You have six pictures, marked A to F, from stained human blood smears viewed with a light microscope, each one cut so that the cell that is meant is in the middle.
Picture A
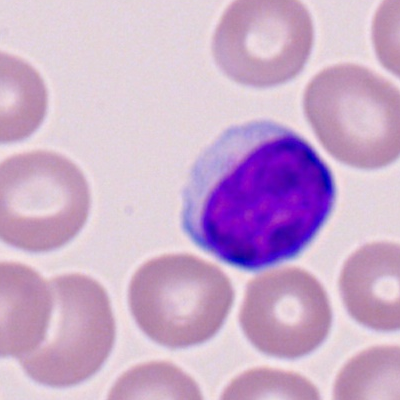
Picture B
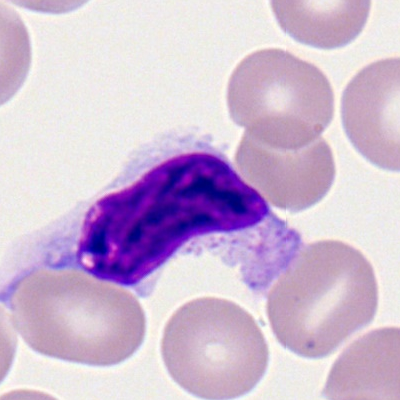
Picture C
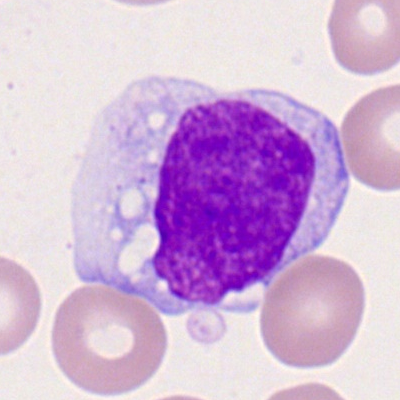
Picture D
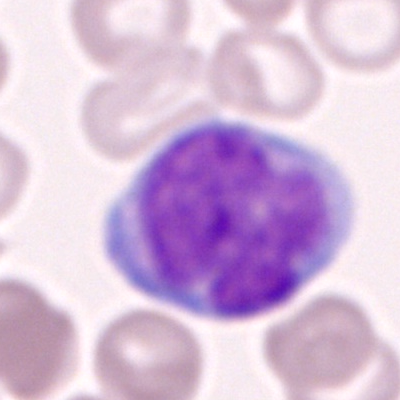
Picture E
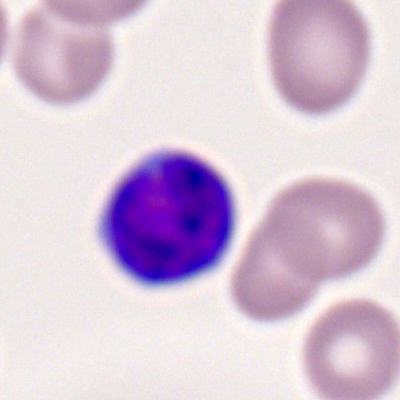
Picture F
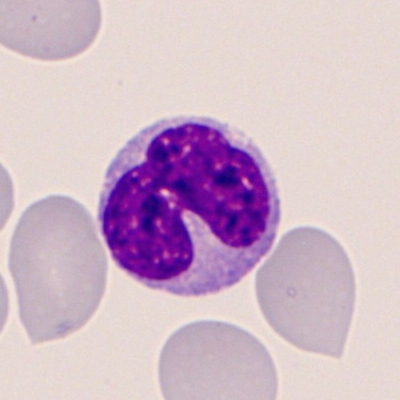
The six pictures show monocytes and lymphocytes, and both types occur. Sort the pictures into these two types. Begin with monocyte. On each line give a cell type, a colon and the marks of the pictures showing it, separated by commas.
monocyte: C, D, F
lymphocyte: A, B, E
